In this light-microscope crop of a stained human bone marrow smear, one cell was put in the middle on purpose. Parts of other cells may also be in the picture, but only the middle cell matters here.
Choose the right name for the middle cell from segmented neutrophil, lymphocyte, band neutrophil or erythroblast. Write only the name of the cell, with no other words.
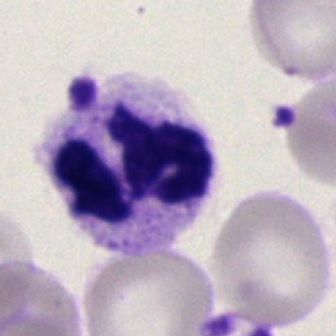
segmented neutrophil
